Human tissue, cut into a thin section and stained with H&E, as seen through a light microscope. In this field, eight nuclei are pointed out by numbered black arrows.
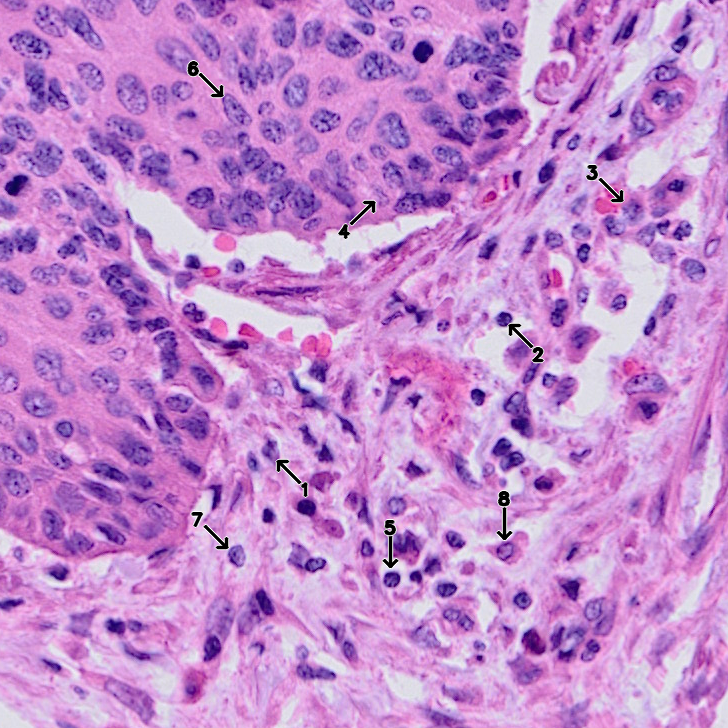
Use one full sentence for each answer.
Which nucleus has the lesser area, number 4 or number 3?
Number 4 is smaller, since number 3 takes up about 2.5 times as much area.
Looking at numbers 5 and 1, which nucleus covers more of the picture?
Number 1 is larger; its area is about 1.5 times that of number 5.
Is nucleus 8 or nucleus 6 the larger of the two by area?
Number 6 is larger; its area is about 1.5 times that of number 8.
